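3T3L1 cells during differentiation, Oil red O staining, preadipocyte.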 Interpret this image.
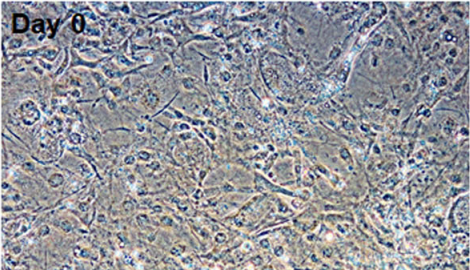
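The cells are elongated and fibroblast-like with oval nuclei, lying closely packed in a monolayer. None of them holds any red-stained droplets.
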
